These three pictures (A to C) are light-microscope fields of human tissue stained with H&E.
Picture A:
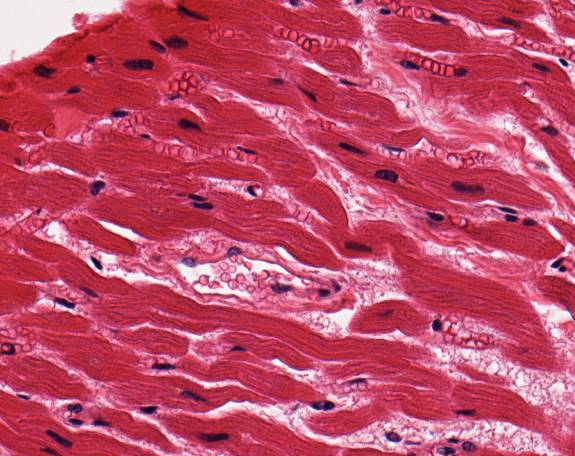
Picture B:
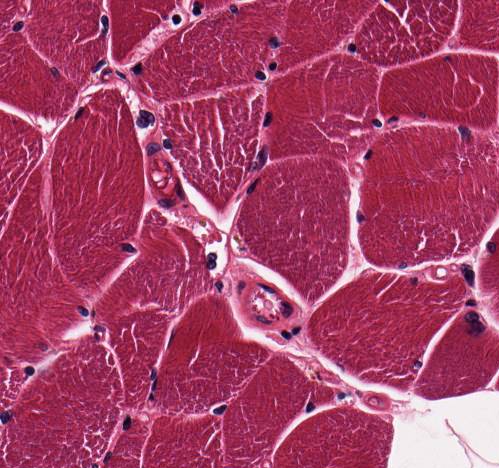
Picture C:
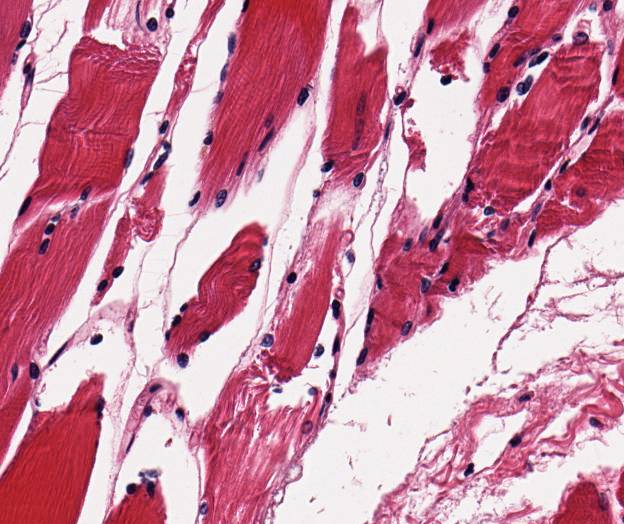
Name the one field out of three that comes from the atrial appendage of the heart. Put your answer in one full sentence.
The one that comes from the atrial appendage of the heart is picture A.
